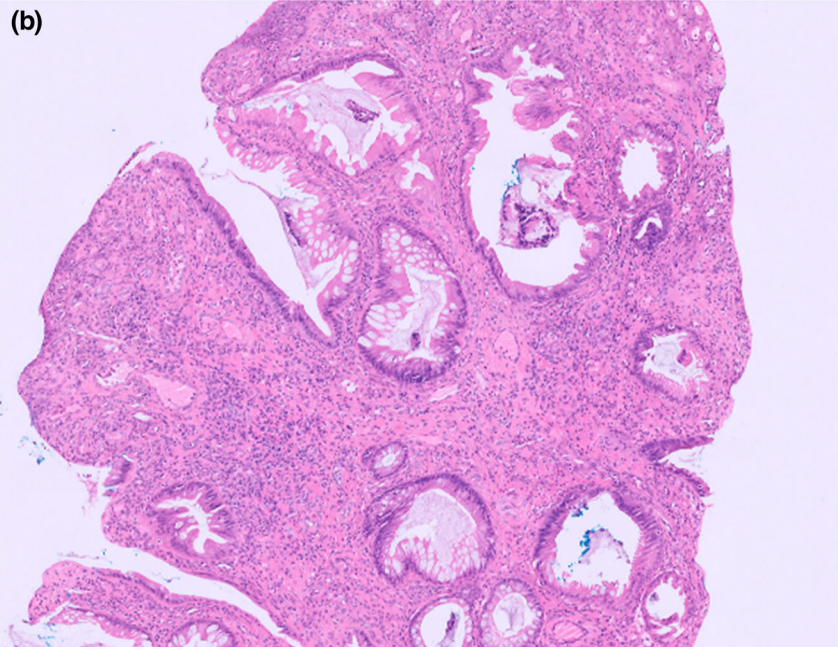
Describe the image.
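This is a fragment of colorectal polyp mucosa with crypts lined by columnar and goblet cells set in a crowded, cellular stroma. Several crypts are dilated and have serrated, in-folded borders containing pale mucin. The lamina propria is packed with inflammatory cells, and parts of the surface lose their epithelial covering.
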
